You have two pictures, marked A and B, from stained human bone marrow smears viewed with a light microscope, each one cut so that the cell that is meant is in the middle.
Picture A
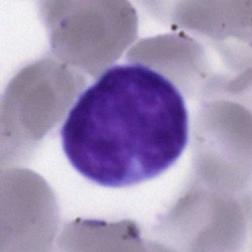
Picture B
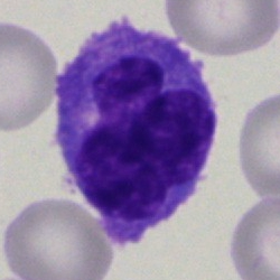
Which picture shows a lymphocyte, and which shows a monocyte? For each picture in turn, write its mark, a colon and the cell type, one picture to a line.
A: lymphocyte
B: monocyte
